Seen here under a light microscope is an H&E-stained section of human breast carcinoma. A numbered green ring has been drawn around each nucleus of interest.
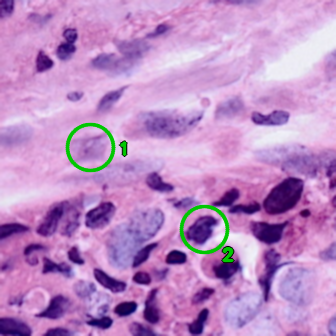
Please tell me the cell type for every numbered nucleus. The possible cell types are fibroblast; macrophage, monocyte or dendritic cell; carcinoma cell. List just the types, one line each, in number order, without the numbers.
fibroblast
carcinoma cell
